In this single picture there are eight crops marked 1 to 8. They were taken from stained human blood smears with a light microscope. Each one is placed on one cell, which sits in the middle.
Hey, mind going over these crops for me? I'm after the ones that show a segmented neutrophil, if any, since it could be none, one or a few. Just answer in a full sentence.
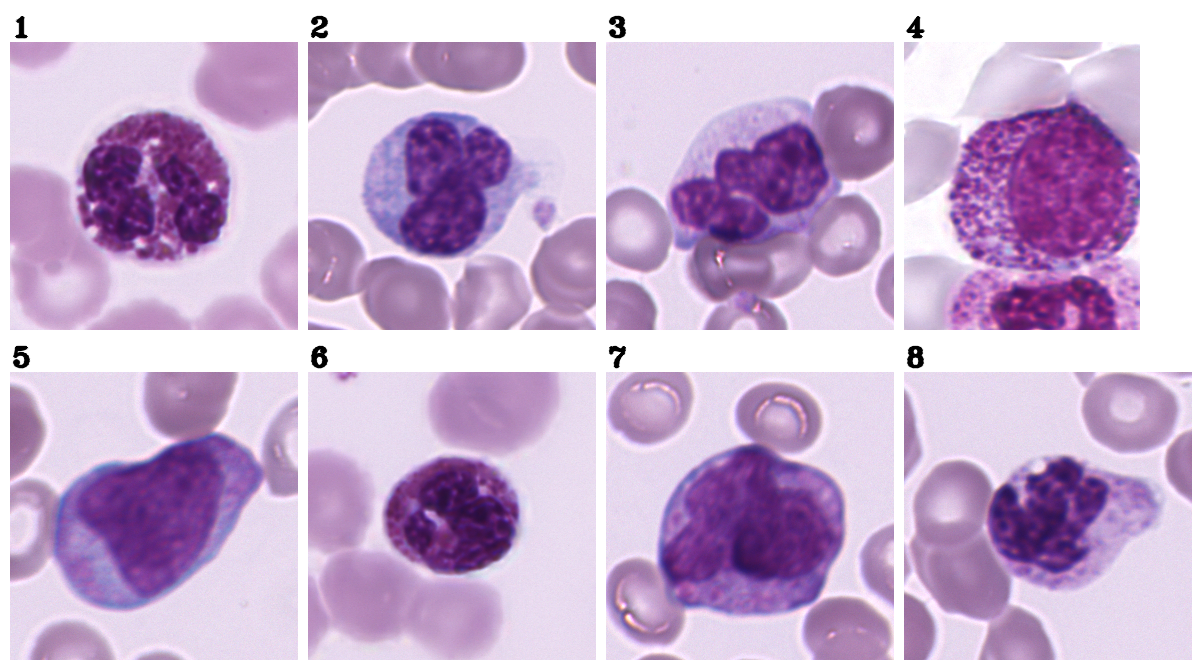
The cells centred in crops 3 and 8 are segmented neutrophils.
